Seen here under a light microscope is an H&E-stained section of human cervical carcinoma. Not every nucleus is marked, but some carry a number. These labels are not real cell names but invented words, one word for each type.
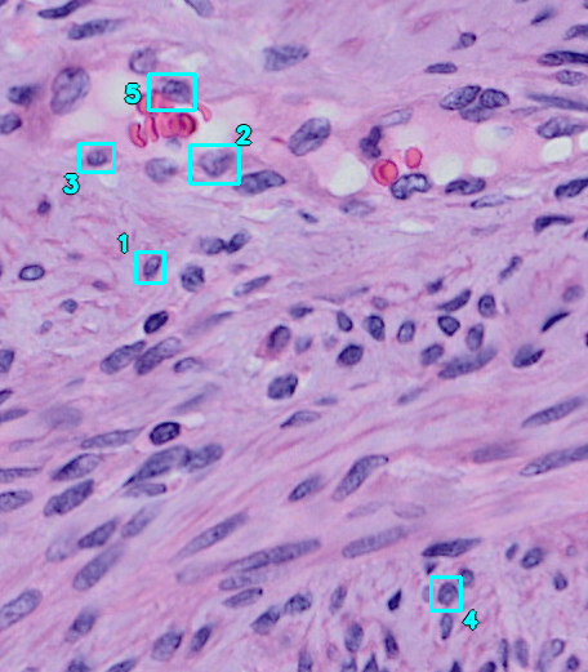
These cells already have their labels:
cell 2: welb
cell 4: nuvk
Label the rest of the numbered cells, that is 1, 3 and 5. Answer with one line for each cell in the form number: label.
1: nuvk
3: nuvk
5: welb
